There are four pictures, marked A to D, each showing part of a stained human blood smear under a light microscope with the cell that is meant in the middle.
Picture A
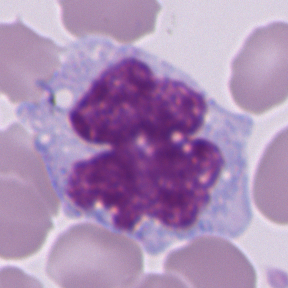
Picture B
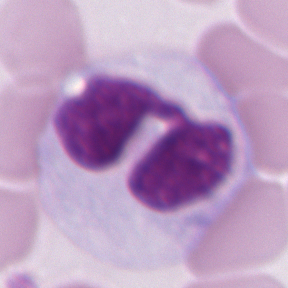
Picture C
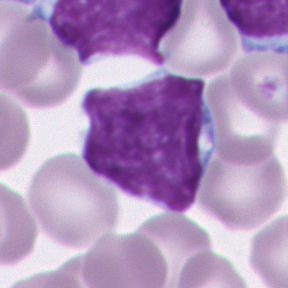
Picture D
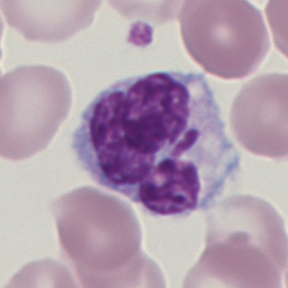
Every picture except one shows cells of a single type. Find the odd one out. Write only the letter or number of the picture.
C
